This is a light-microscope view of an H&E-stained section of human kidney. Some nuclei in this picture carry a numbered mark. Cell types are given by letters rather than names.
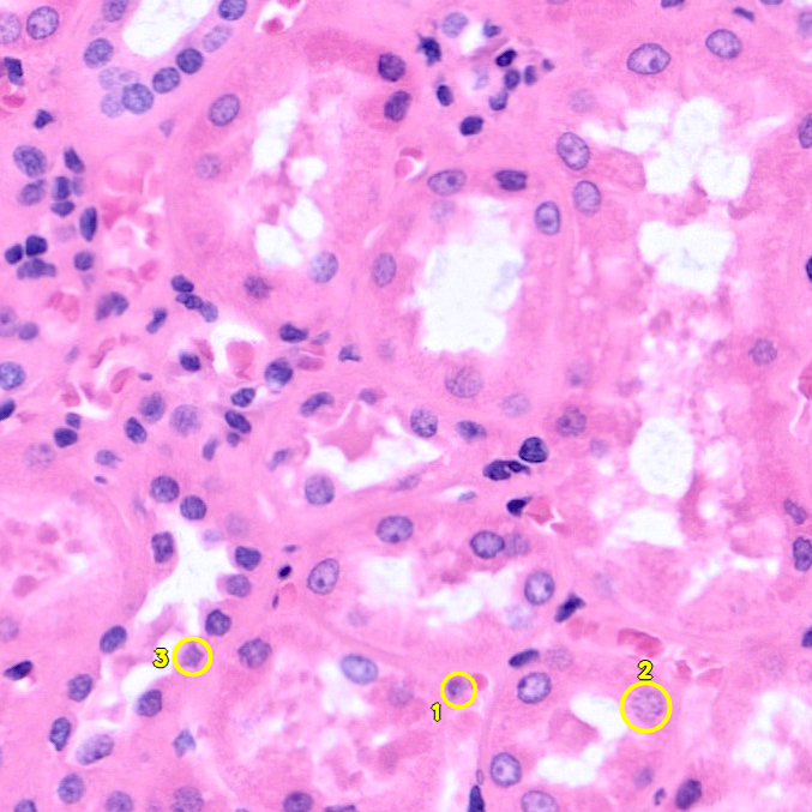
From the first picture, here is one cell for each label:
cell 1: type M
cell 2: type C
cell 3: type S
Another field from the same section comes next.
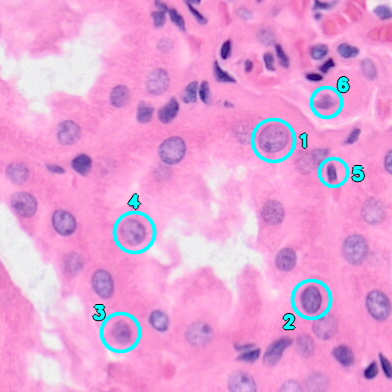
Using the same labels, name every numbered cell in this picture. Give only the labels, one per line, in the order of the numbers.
type C
type C
type C
type C
type M
type M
